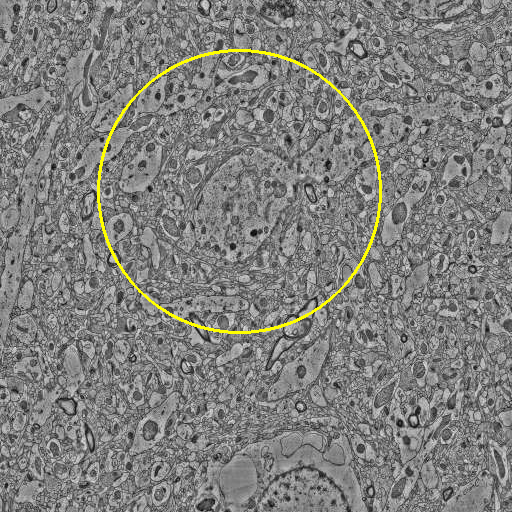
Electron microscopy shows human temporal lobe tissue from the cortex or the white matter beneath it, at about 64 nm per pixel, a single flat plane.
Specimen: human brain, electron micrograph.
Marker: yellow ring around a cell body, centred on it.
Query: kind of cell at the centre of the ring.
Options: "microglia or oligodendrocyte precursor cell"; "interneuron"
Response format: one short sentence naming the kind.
This cell body belongs to an interneuron.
